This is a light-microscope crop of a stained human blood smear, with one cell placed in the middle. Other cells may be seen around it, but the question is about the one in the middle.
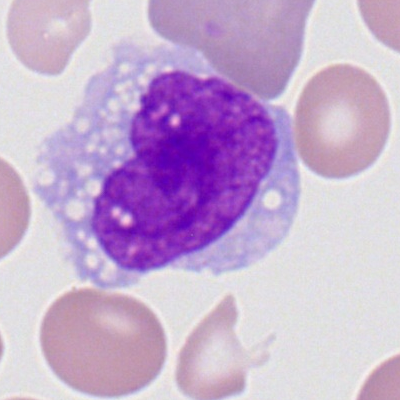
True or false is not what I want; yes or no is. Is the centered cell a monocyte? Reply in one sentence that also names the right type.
Yes, in the centre of this field sits a monocyte.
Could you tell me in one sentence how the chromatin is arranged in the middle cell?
The chromatin is fine, with no coarse clumping anywhere.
